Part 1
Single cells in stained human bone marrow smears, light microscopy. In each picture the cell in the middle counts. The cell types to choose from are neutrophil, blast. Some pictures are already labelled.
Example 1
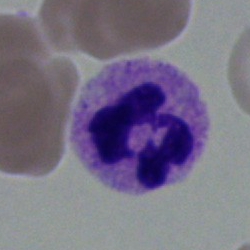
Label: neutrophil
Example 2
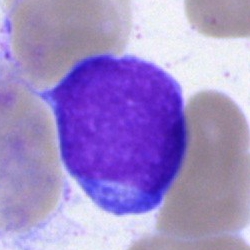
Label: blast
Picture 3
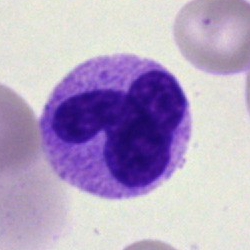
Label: neutrophil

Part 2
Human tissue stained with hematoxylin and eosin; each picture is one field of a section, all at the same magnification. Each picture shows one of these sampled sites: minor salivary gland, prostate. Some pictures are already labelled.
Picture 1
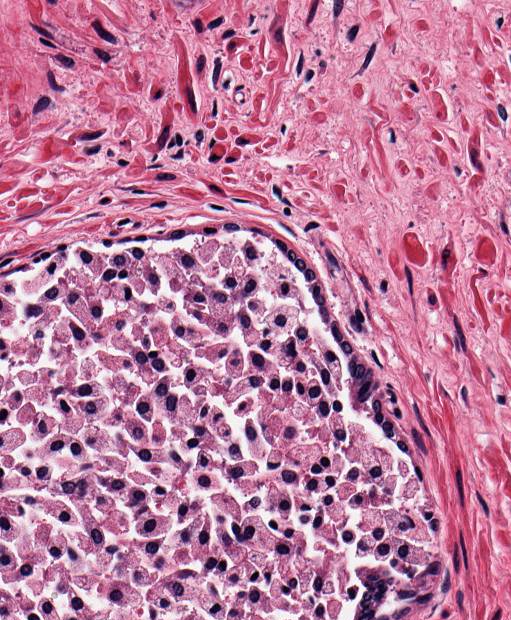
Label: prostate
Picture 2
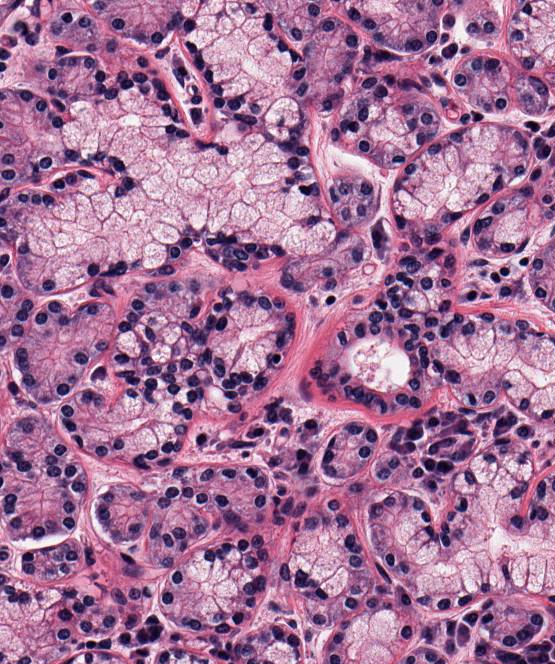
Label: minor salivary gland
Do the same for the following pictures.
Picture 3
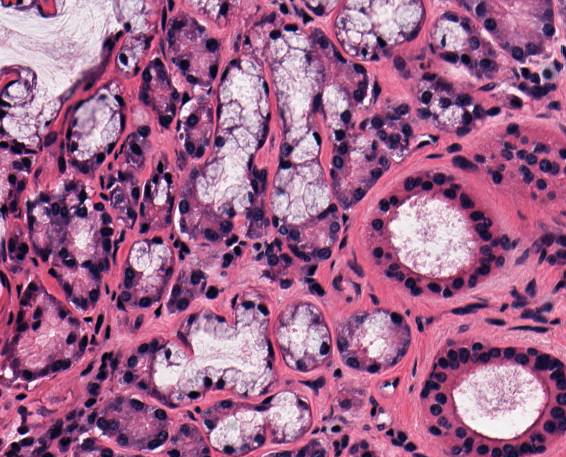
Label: minor salivary gland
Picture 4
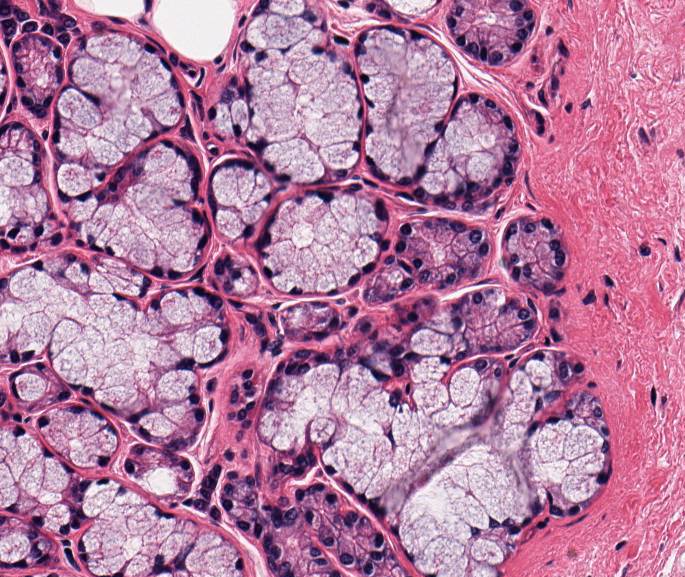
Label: minor salivary gland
